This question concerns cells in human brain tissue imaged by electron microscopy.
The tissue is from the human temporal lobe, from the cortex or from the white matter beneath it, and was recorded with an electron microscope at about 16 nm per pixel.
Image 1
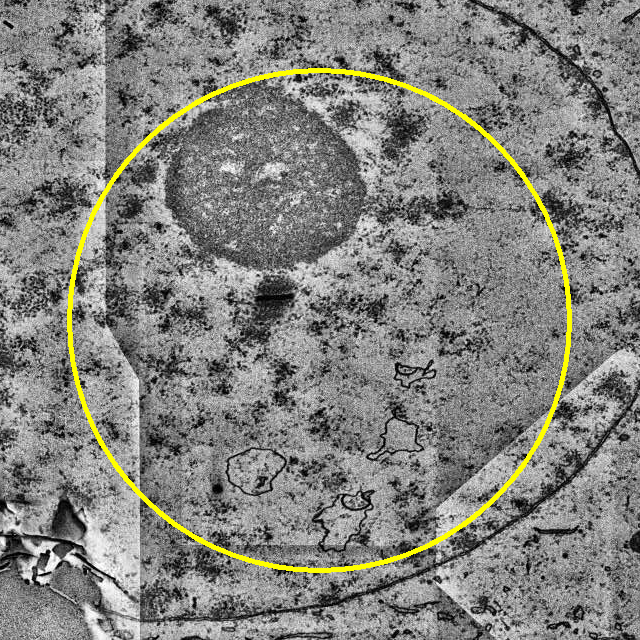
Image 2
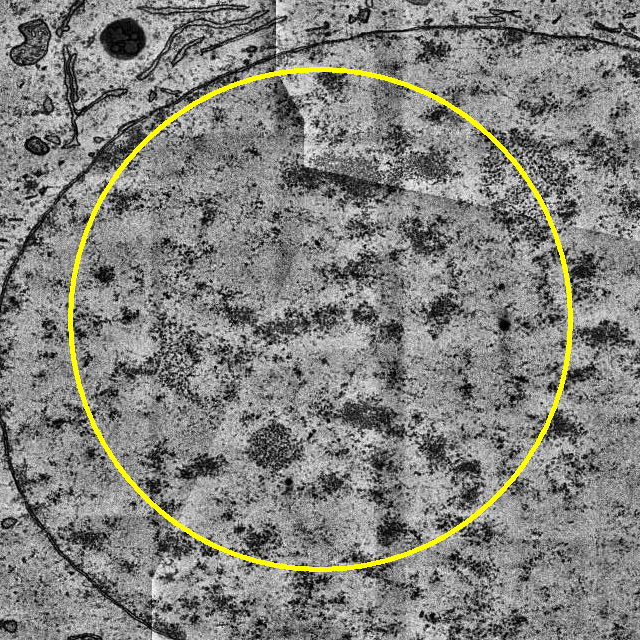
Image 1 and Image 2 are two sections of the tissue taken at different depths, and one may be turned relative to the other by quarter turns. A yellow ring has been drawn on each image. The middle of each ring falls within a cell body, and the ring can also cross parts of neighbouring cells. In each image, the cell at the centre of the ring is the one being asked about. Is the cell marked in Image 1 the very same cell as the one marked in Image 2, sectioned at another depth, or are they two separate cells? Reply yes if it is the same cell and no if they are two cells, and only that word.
yes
